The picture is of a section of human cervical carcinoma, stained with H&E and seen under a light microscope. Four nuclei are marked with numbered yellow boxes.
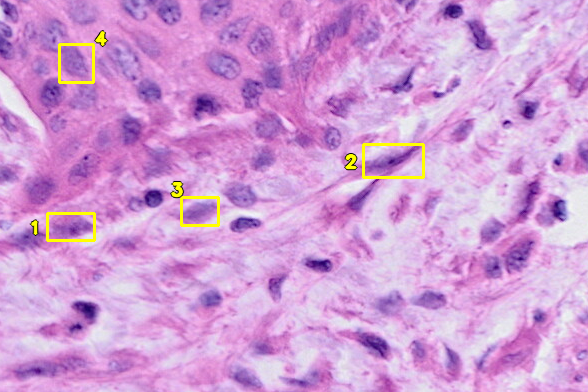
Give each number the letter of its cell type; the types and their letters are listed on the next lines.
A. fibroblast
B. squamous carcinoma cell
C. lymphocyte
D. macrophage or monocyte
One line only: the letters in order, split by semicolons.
A; A; A; B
